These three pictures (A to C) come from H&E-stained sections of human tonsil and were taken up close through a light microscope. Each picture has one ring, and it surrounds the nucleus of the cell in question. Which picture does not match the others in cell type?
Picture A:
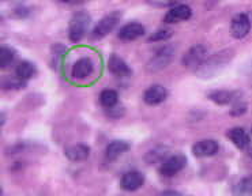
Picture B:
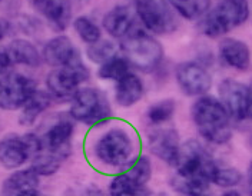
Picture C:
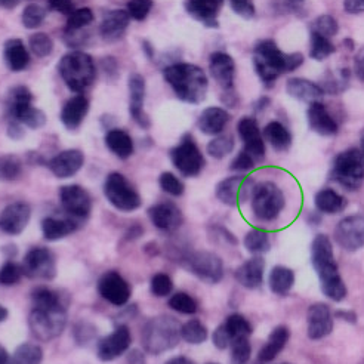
A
